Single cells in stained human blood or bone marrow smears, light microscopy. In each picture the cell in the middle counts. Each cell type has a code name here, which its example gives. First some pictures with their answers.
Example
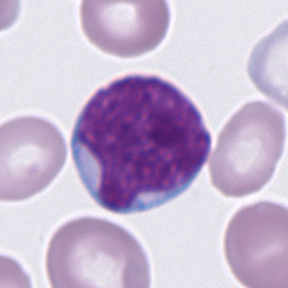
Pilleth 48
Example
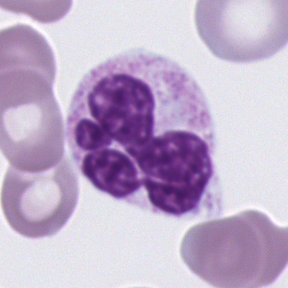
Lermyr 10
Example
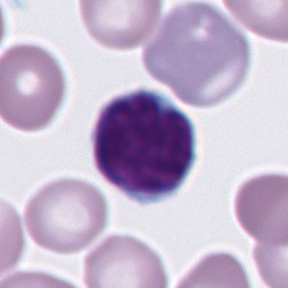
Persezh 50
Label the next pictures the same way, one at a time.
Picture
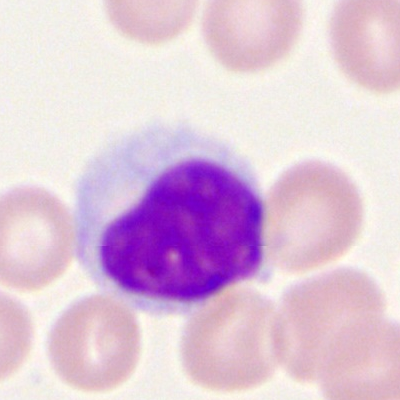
Persezh 50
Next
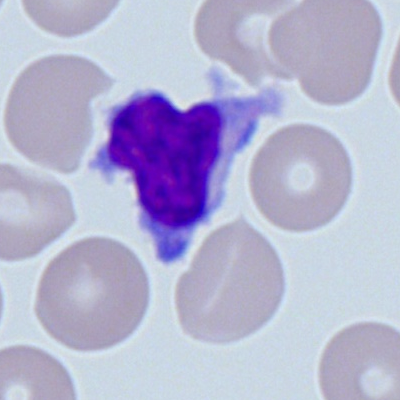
Persezh 50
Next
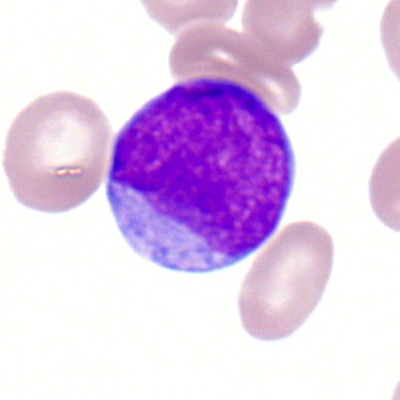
Pilleth 48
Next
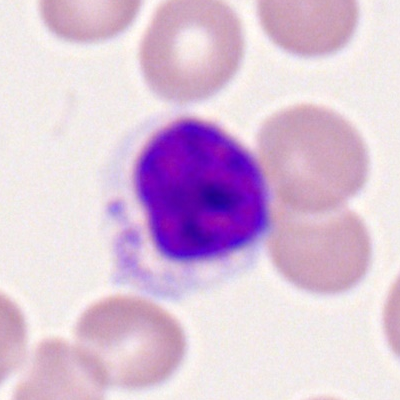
Persezh 50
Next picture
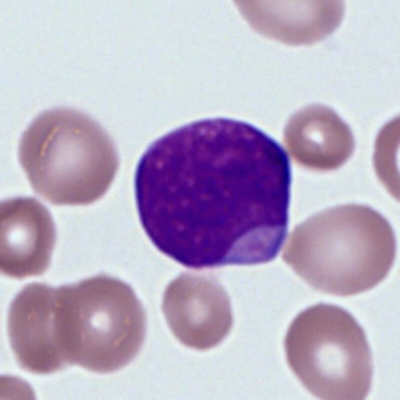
Pilleth 48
